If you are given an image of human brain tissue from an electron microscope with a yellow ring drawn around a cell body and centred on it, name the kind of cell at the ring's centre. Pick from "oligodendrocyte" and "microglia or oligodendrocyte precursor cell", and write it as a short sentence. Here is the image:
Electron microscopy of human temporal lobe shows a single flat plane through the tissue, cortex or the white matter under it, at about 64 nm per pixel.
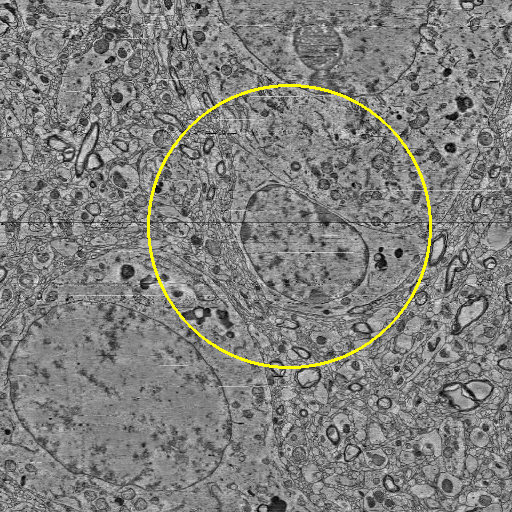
The cell at the ring's centre is a microglial cell or oligodendrocyte precursor cell.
